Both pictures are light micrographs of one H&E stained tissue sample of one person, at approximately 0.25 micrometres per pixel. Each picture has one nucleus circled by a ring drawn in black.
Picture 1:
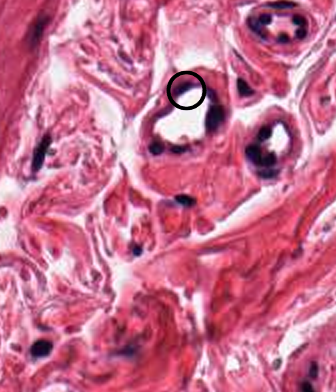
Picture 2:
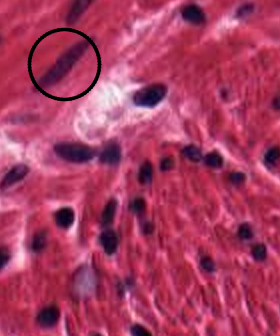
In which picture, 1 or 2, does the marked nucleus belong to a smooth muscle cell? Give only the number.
2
